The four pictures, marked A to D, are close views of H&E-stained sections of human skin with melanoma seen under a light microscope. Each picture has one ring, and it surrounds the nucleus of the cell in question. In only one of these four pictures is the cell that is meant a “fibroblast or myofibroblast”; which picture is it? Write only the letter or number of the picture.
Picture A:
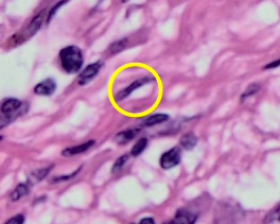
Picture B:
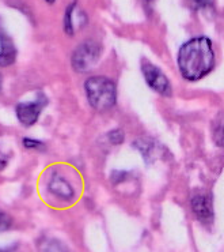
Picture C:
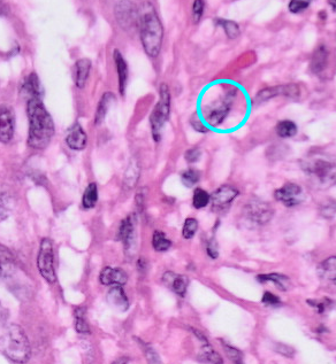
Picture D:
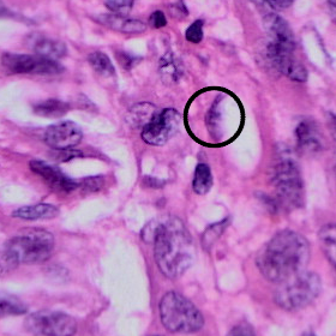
A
